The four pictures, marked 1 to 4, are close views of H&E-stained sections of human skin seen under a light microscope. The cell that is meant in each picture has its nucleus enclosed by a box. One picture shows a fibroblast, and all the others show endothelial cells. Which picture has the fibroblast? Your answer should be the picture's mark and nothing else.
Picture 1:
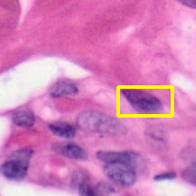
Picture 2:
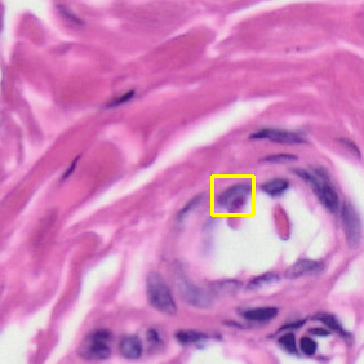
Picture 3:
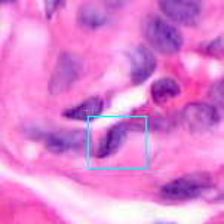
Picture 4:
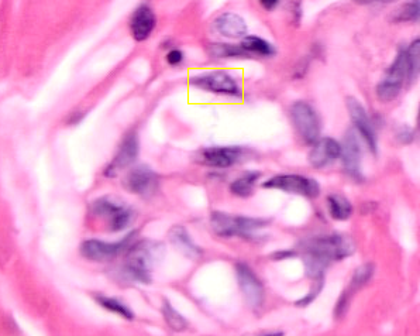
1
